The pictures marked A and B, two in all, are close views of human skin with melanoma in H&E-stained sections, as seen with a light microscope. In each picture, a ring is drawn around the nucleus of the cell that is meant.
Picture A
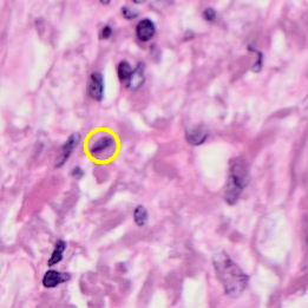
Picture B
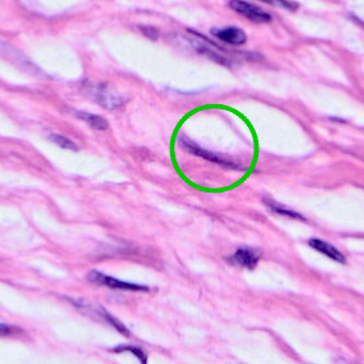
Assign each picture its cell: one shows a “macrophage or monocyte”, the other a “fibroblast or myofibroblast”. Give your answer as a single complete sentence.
Picture A shows a “macrophage or monocyte” and picture B shows a “fibroblast or myofibroblast”.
